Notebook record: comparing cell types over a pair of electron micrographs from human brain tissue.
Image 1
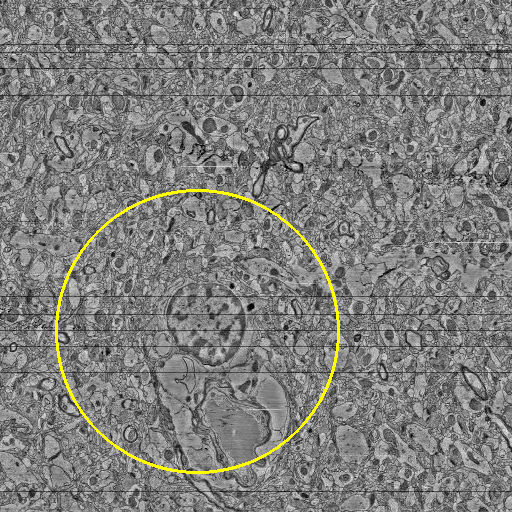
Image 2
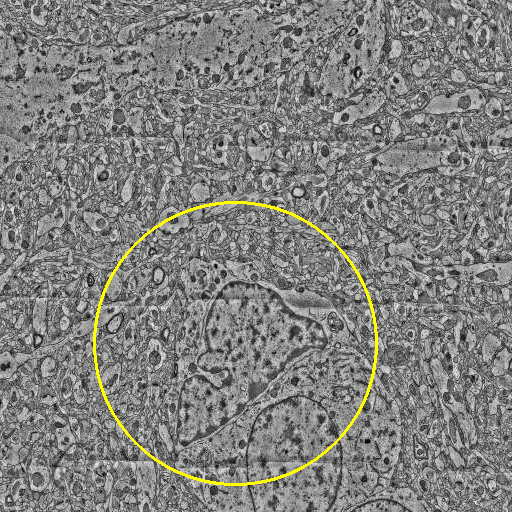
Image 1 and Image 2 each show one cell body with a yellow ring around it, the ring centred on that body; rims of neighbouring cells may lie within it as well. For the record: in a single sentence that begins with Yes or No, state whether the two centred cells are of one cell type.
Yes, one cell type is shared by the centred cells of Image 1 and Image 2.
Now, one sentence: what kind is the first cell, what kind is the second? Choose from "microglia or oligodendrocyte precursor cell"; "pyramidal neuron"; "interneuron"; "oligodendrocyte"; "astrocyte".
In both pictures the ring is centred on a microglial cell or oligodendrocyte precursor cell.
